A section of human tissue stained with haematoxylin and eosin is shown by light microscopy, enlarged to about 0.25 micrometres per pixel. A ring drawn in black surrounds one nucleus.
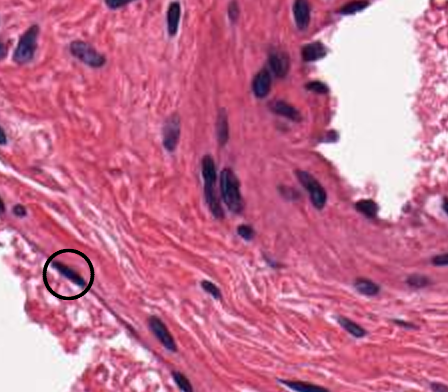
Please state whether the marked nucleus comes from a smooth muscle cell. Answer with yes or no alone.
no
